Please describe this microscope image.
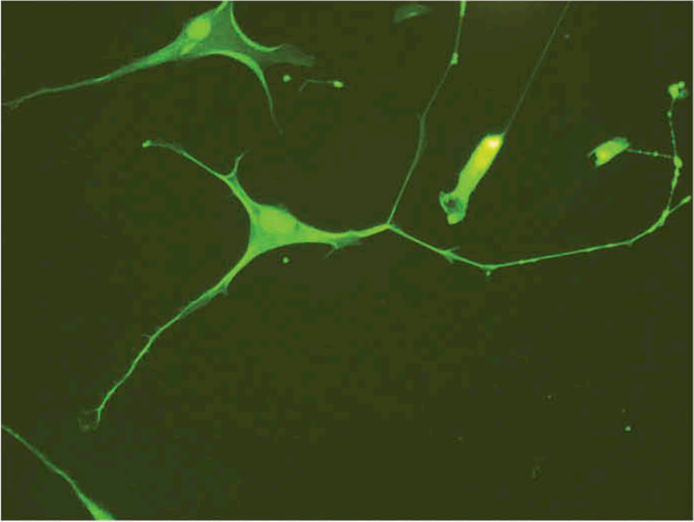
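Neuron-like cells in culture are shown by green fluorescence on a dark background. The most central cell has a triangular, cone-shaped cell body from which several long, thin processes extend. One process branches and runs a long distance across the field, with small bead-like swellings along its length. The cytoplasm of the cell bodies is evenly fluorescent, with the nucleus region appearing as a slightly brighter oval area.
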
